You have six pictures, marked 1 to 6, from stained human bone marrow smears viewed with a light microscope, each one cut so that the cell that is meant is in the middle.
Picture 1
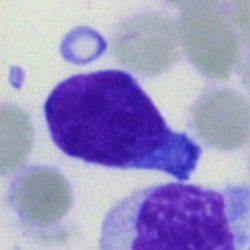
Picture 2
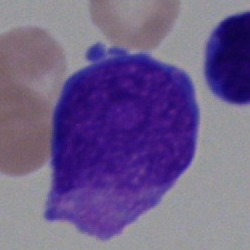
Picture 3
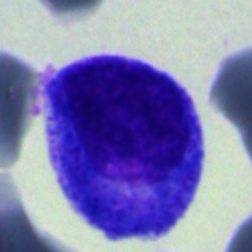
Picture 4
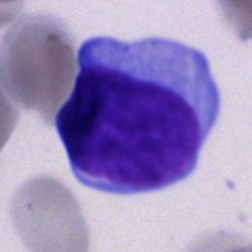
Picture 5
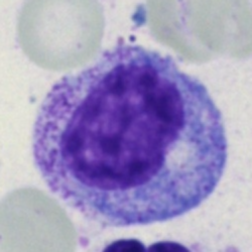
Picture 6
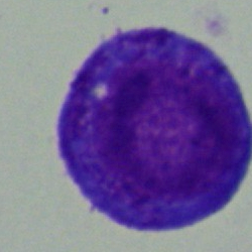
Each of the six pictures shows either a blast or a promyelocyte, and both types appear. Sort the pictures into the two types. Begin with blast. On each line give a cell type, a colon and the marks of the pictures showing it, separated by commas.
blast: 1, 2, 4
promyelocyte: 3, 5, 6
